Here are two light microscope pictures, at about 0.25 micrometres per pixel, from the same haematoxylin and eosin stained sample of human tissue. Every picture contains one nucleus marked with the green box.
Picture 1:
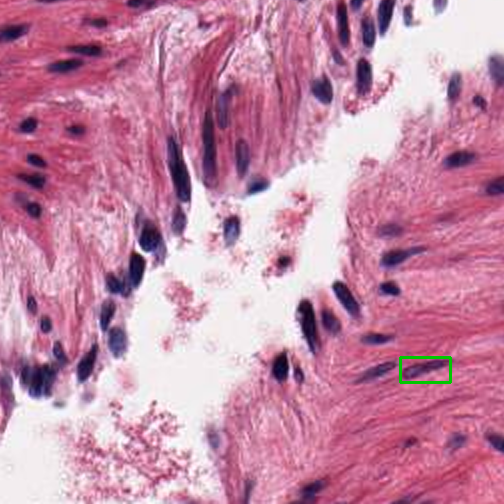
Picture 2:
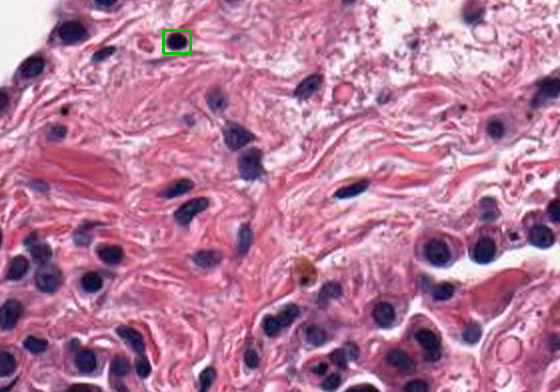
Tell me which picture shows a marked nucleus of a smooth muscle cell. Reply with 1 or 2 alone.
1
